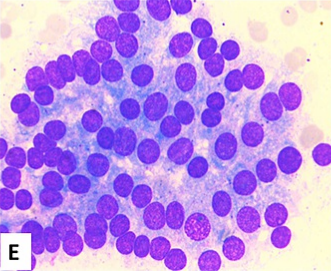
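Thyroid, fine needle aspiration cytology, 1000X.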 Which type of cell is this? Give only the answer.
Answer: follicular epithelial cells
